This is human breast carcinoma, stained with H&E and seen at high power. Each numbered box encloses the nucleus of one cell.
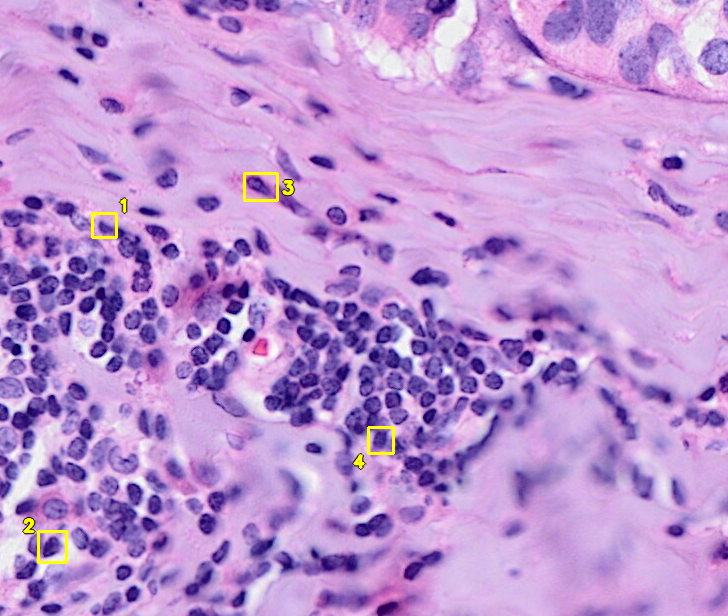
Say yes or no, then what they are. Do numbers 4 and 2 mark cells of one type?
Yes, sure, cells 4 and 2 are both lymphocytes.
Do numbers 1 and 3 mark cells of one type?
No, that's off: cell 1 is a lymphocyte and cell 3 is a mast cell.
